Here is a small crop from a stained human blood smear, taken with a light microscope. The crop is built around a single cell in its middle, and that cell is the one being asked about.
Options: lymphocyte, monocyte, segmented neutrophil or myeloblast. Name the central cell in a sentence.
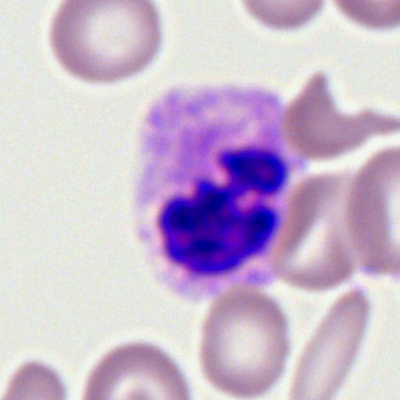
The cell in the exact centre of the crop is a segmented neutrophil.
